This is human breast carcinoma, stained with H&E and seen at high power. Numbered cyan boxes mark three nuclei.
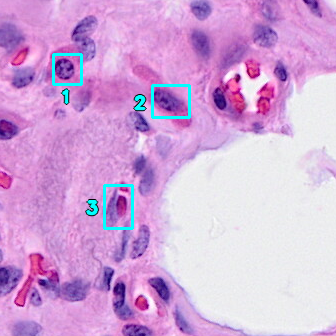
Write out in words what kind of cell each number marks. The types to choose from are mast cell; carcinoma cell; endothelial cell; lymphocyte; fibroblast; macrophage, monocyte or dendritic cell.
Cell 1 is a mast cell, cell 2 is a mast cell and cell 3 is an endothelial cell.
